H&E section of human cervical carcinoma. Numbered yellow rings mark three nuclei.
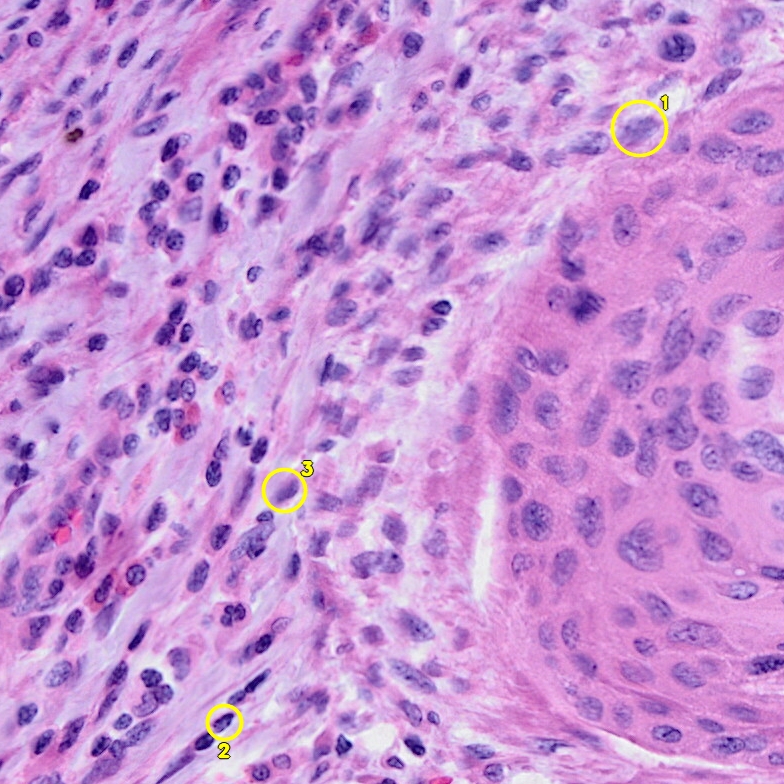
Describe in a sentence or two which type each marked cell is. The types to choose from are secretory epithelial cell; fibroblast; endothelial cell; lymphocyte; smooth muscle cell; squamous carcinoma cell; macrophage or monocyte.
Cell 1 is a fibroblast. Cell 2 is a lymphocyte. Cell 3 is a macrophage or monocyte.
